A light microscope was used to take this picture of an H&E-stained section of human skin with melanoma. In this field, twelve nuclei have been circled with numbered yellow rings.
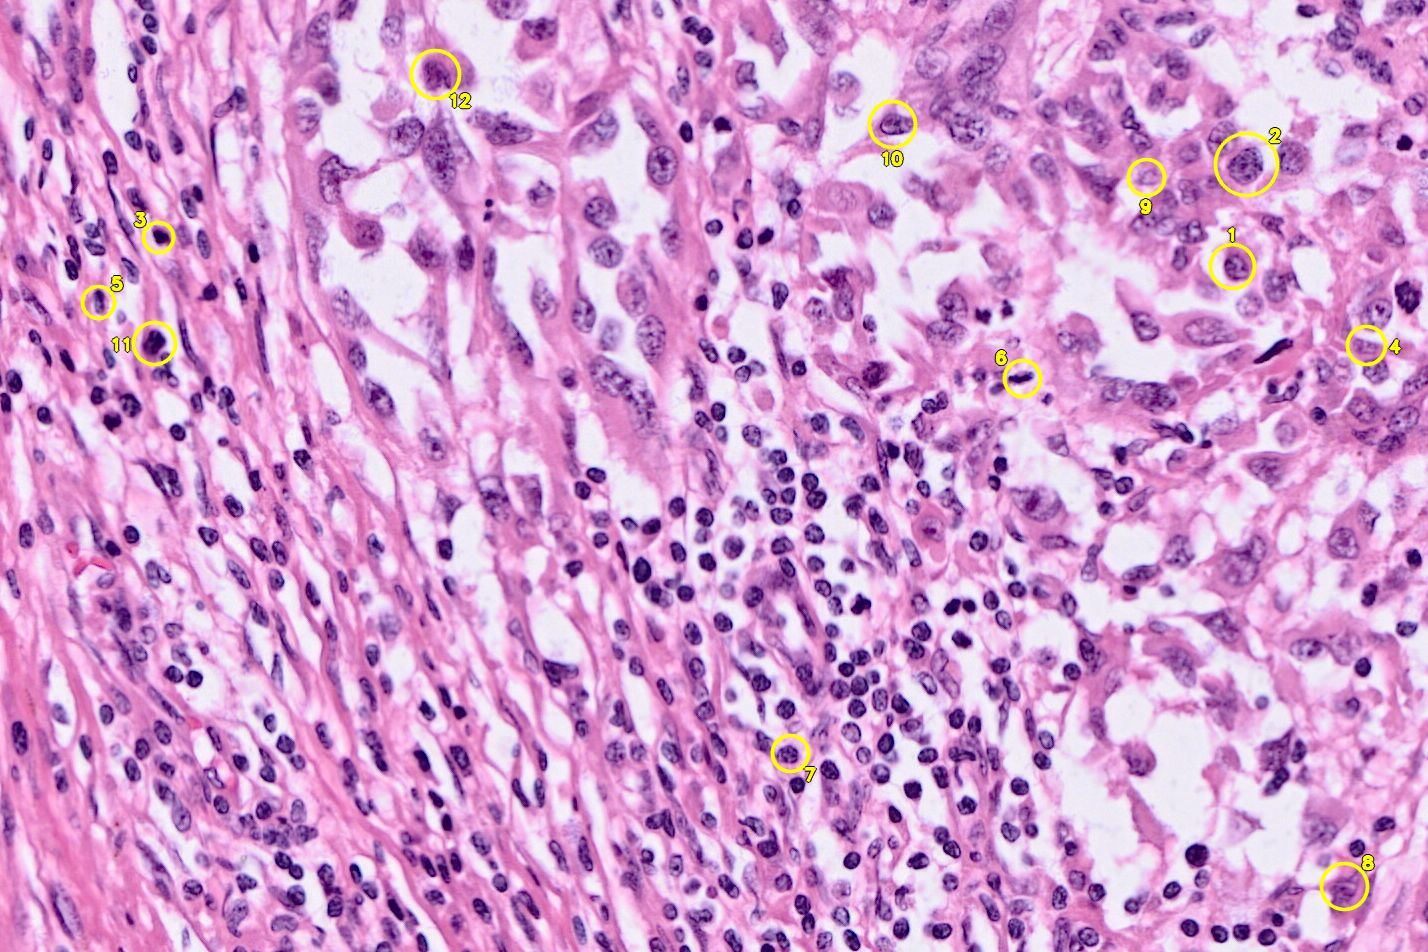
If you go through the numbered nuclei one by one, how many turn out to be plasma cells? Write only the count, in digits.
1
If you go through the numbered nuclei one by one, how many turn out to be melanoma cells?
7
